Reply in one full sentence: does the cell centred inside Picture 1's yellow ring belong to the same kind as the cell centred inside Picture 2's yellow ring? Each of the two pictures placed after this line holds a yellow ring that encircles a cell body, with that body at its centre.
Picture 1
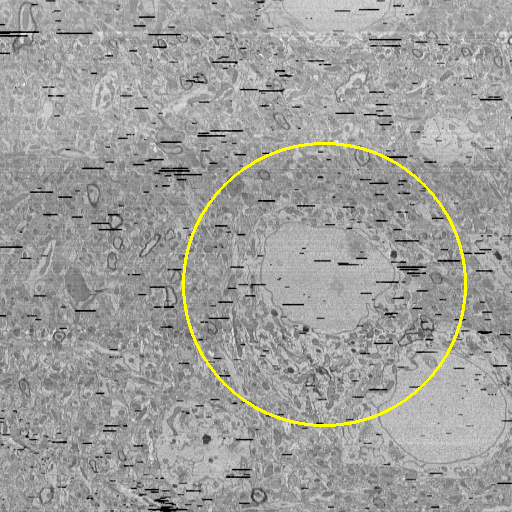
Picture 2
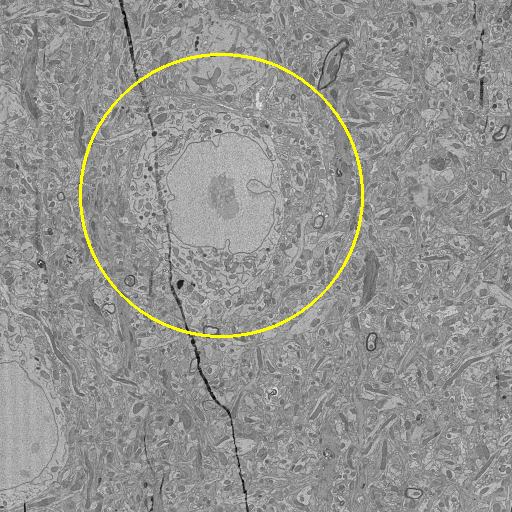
Yes, the ring-centred cells in Picture 1 and Picture 2 are of one and the same kind.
